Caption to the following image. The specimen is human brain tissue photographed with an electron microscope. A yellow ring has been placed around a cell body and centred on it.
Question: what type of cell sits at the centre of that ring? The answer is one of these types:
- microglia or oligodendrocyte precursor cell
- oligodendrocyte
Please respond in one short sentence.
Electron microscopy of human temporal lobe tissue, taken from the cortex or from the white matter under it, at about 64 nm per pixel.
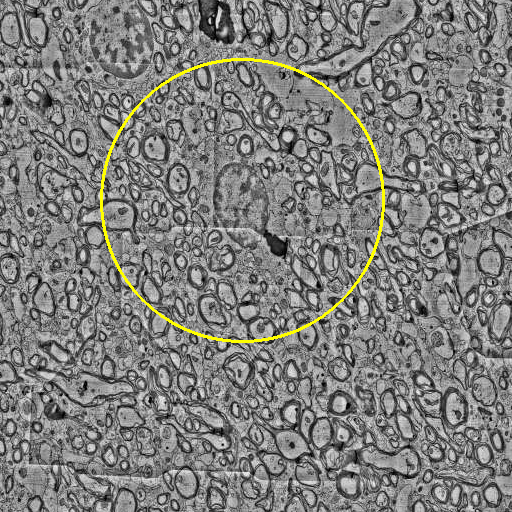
The ring surrounds the cell body of an oligodendrocyte.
